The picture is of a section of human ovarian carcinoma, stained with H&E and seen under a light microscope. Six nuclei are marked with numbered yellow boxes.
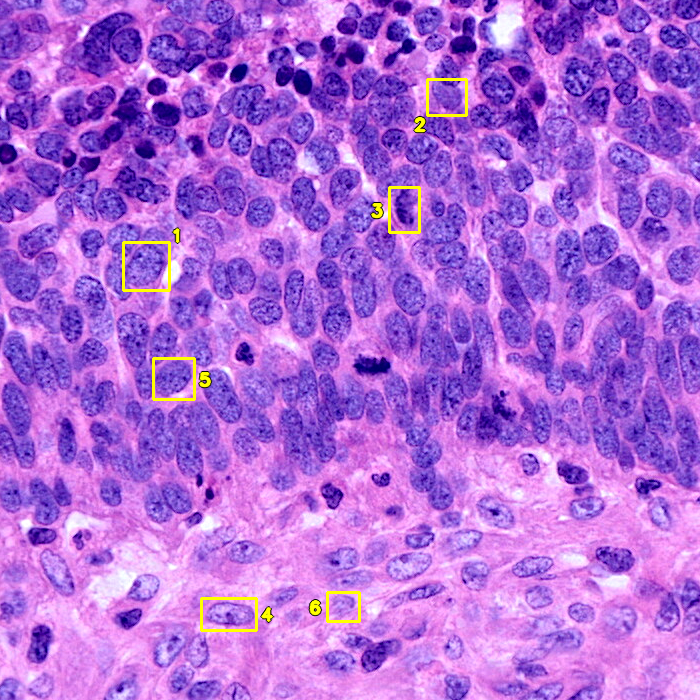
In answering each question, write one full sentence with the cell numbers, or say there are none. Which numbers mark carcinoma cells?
Cells 1, 2, 3 and 5 are classified as carcinoma cells.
